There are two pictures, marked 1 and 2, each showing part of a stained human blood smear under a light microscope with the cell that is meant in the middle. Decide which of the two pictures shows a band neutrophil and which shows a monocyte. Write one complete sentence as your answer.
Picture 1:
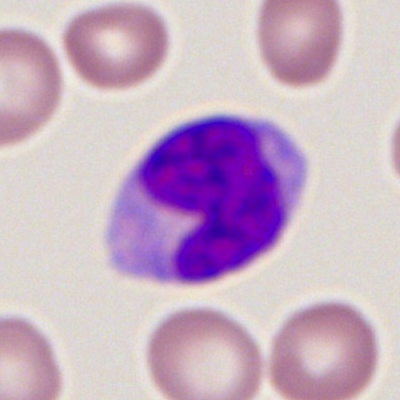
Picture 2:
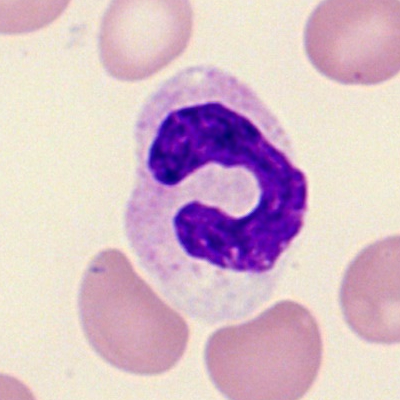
It is picture 1 that shows a monocyte, and picture 2 that shows a band neutrophil.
